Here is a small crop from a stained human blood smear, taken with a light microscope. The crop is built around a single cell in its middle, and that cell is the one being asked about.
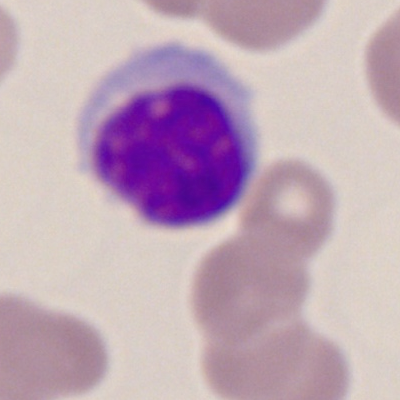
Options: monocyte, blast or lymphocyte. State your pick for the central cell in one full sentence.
Here the centrally located cell is a lymphocyte.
